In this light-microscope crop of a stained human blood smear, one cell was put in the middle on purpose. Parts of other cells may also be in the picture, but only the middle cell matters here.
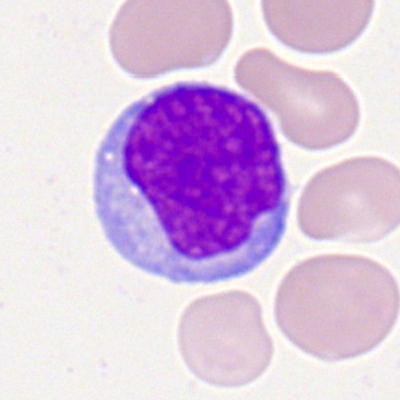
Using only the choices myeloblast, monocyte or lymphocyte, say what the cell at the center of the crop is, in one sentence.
In this smear crop, the middle cell is a lymphocyte.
